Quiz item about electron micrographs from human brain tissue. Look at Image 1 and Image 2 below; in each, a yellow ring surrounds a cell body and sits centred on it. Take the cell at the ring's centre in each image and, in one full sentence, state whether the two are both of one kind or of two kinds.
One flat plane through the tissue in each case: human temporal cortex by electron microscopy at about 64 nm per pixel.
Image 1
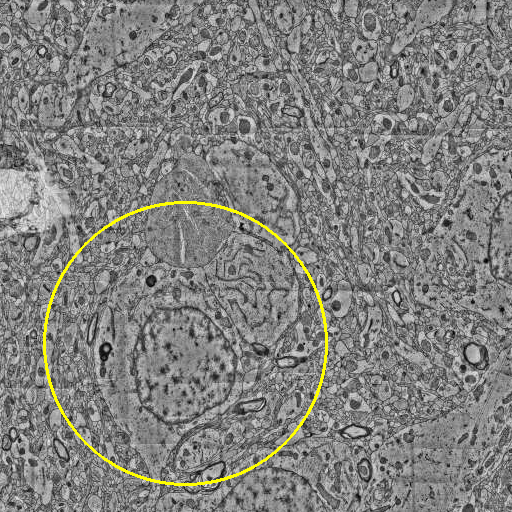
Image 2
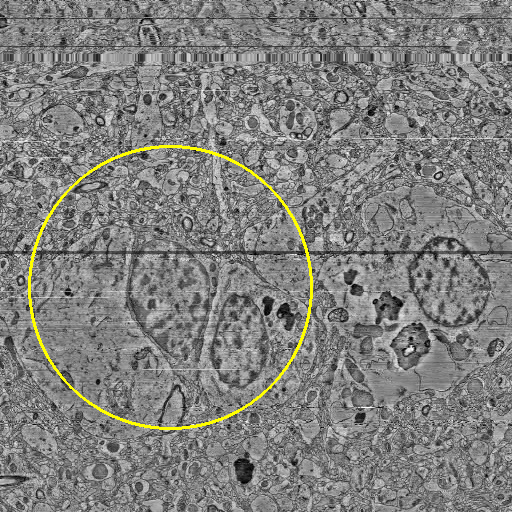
In Image 1 and Image 2, the cells at the ring centres are of two kinds.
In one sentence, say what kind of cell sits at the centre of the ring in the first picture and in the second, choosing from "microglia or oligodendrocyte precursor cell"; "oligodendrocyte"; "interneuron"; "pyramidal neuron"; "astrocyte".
The first picture's ringed cell is a pyramidal neuron, while the second picture's is an oligodendrocyte.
